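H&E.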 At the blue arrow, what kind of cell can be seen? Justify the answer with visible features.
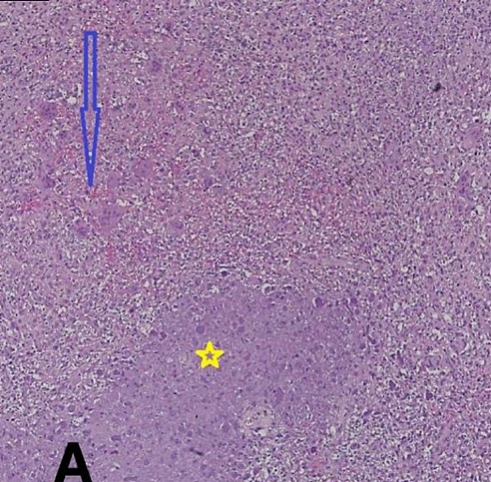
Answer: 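Multinucleated giant cells. The arrow points to a pinker area with larger cell profiles among the smaller cells.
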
